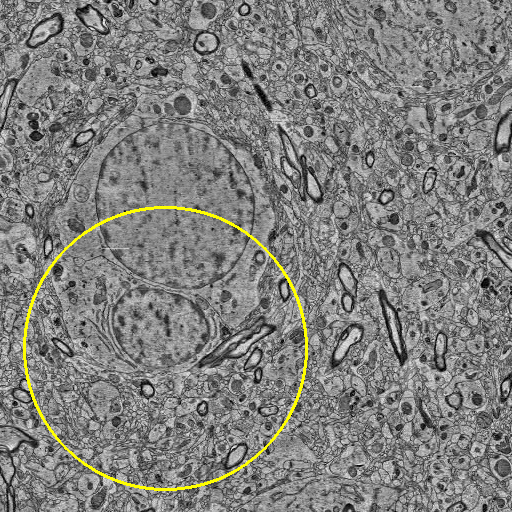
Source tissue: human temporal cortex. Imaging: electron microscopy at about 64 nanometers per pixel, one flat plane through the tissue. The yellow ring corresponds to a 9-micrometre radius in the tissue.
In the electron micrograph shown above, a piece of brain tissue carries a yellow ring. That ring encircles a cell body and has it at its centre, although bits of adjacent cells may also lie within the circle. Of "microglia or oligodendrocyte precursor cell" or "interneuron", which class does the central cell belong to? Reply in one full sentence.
The cell body at the centre of the yellow ring belongs to a microglial cell or oligodendrocyte precursor cell.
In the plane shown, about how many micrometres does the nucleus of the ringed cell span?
In this plane, about 6 micrometres in length and 5 in width.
